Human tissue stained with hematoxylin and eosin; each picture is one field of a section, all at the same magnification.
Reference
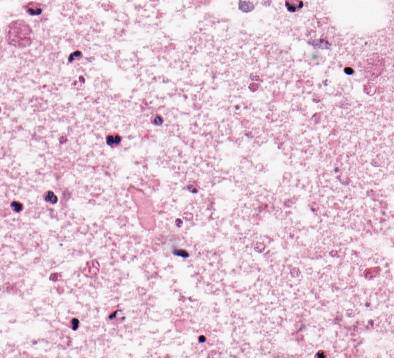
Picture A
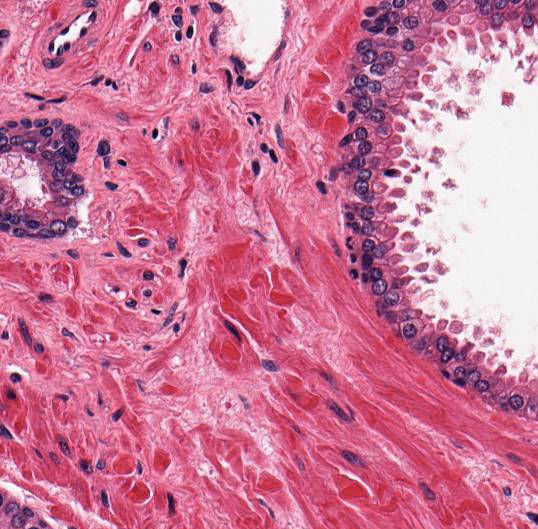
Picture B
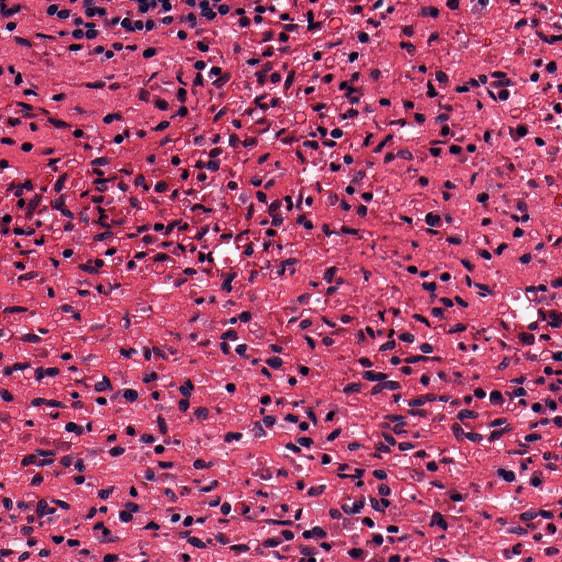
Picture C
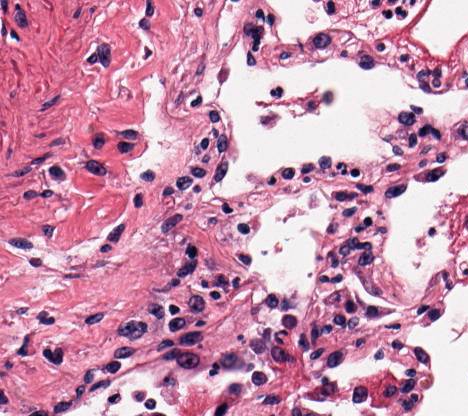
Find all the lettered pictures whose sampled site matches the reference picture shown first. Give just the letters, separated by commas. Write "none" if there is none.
A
